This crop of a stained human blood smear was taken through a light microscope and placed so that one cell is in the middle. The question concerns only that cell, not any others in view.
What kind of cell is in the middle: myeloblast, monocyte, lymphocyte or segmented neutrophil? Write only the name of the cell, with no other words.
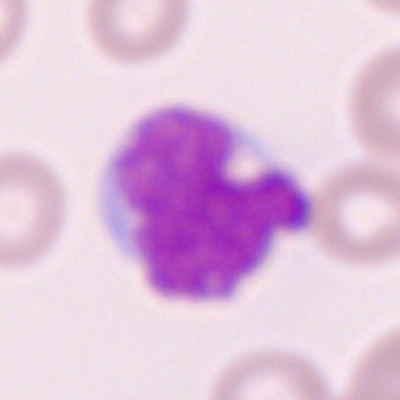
myeloblast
